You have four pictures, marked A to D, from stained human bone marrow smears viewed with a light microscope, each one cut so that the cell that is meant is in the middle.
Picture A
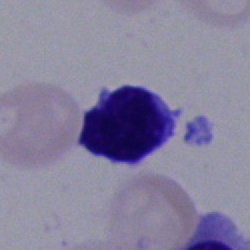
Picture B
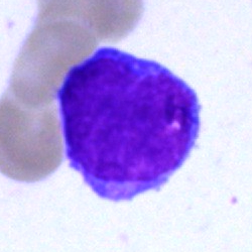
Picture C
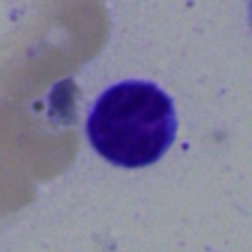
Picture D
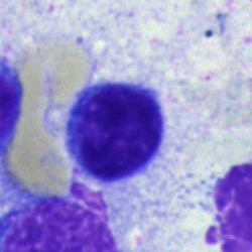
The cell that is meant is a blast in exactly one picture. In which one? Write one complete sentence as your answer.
The picture with the blast is B.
